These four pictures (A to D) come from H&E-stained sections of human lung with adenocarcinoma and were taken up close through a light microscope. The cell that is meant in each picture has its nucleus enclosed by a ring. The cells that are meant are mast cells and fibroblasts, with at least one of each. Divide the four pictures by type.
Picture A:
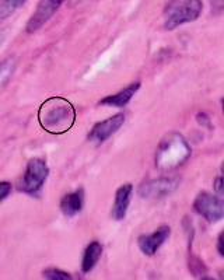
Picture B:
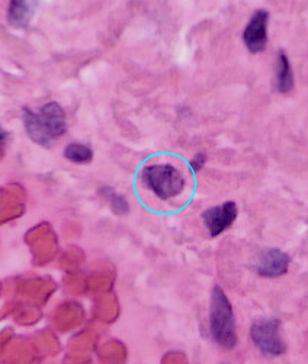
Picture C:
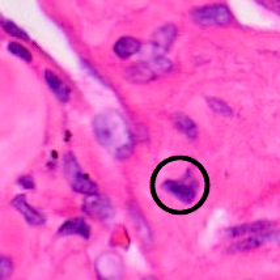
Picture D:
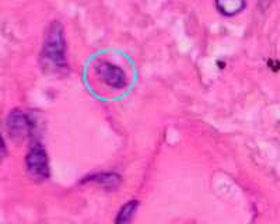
A: mast cell
B: fibroblast
C: fibroblast
D: mast cell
